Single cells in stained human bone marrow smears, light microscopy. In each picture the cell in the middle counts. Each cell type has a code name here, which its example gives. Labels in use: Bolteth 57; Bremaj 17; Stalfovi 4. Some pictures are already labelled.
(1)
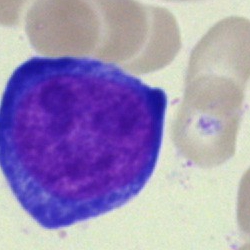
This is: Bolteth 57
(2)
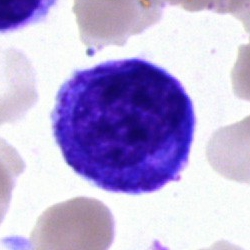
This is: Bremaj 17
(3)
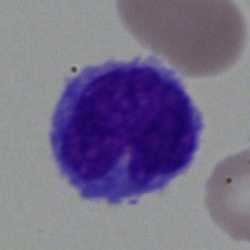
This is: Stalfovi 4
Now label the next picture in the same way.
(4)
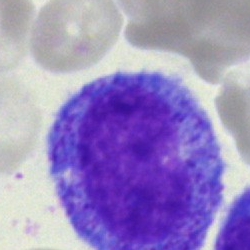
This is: Bremaj 17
